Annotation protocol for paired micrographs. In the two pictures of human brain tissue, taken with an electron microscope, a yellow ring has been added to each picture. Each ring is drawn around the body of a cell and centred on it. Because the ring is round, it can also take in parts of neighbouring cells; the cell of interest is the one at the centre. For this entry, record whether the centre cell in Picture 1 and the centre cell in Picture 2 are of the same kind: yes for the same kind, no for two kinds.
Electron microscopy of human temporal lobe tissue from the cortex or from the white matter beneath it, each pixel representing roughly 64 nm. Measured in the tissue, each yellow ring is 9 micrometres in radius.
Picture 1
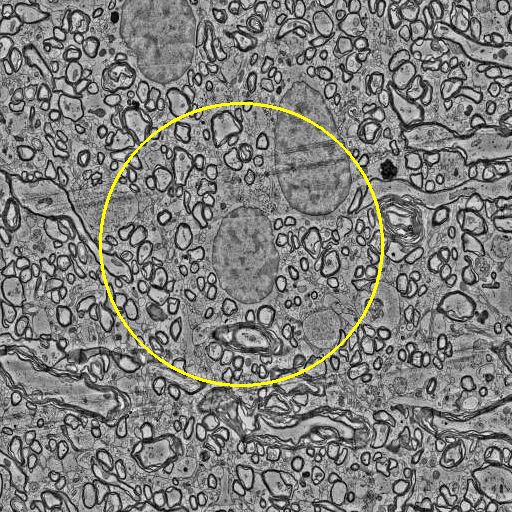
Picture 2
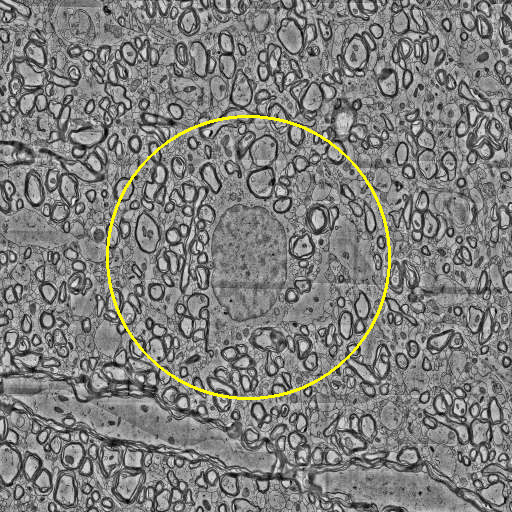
yes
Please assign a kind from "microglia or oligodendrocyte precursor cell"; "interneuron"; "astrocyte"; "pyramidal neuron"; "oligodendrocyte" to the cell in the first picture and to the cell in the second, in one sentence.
Both rings mark an oligodendrocyte, one in each picture.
